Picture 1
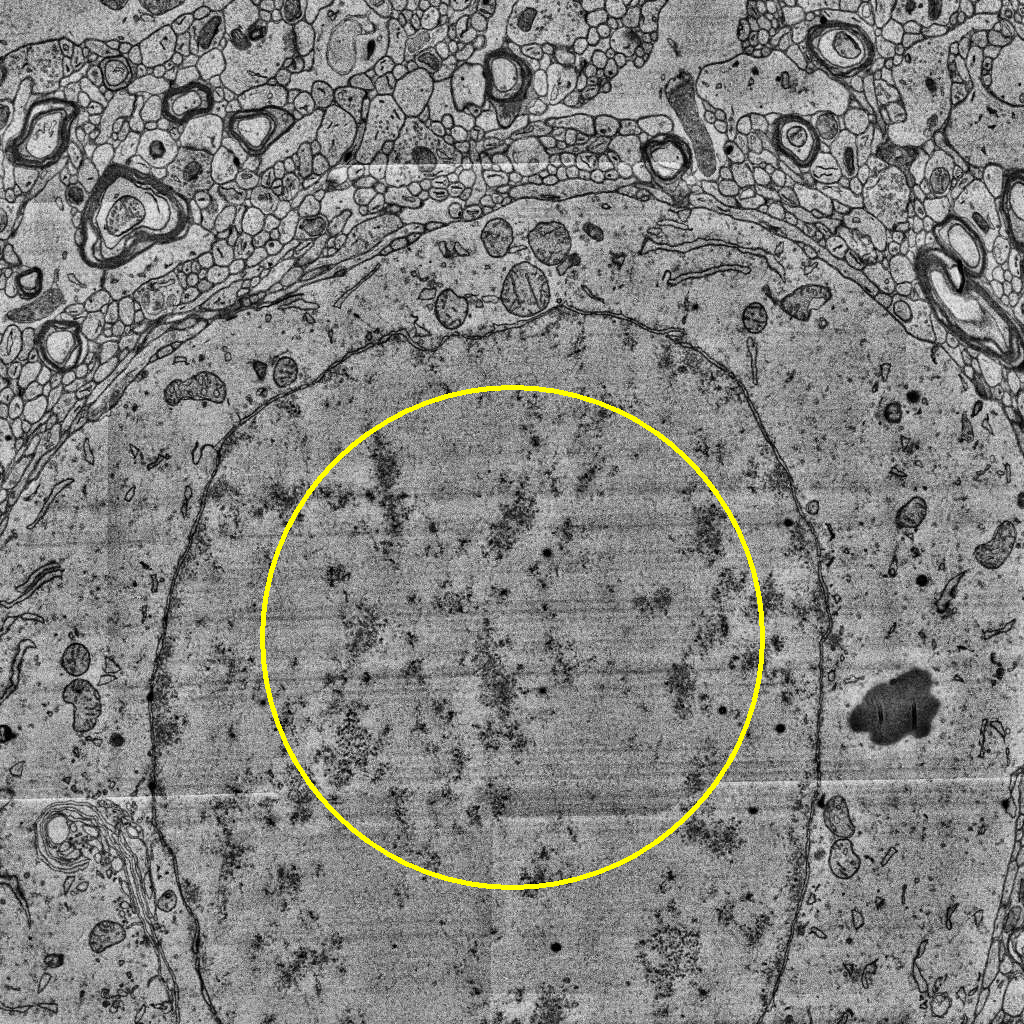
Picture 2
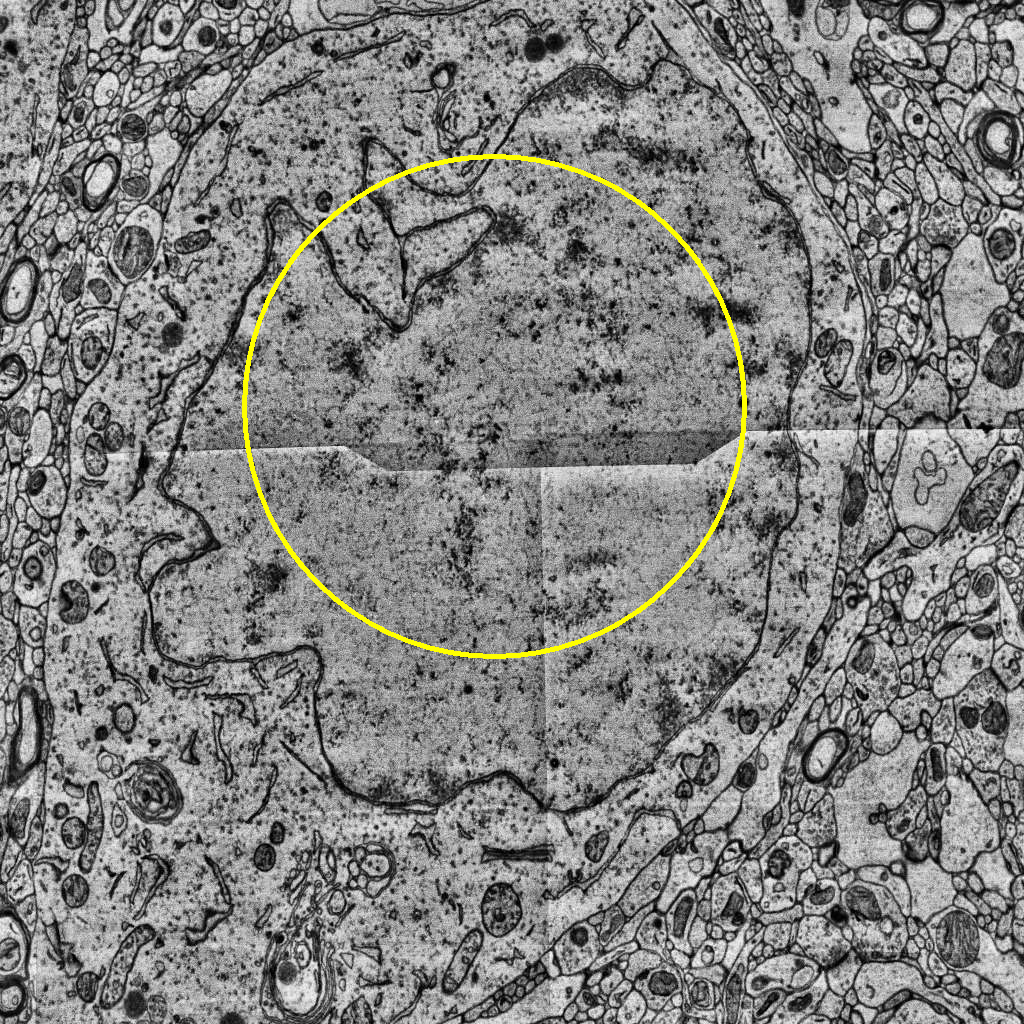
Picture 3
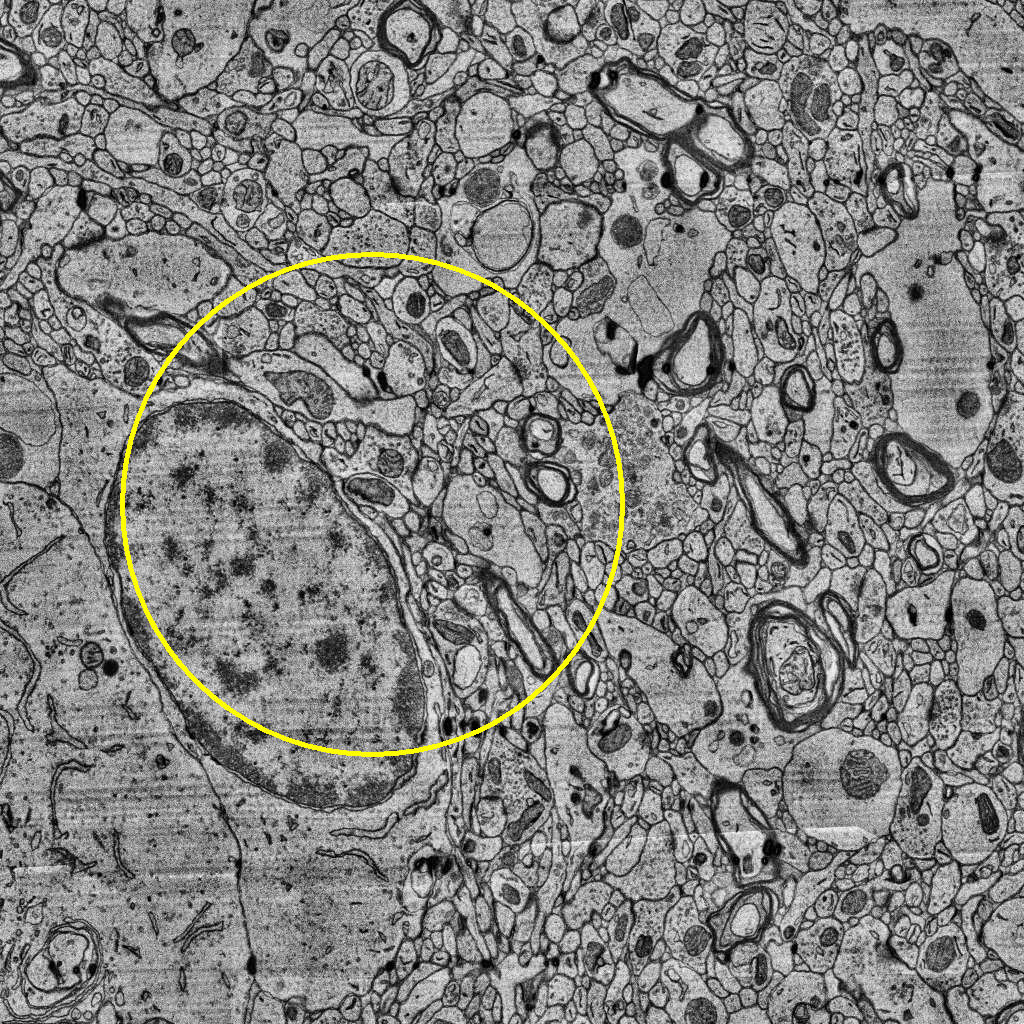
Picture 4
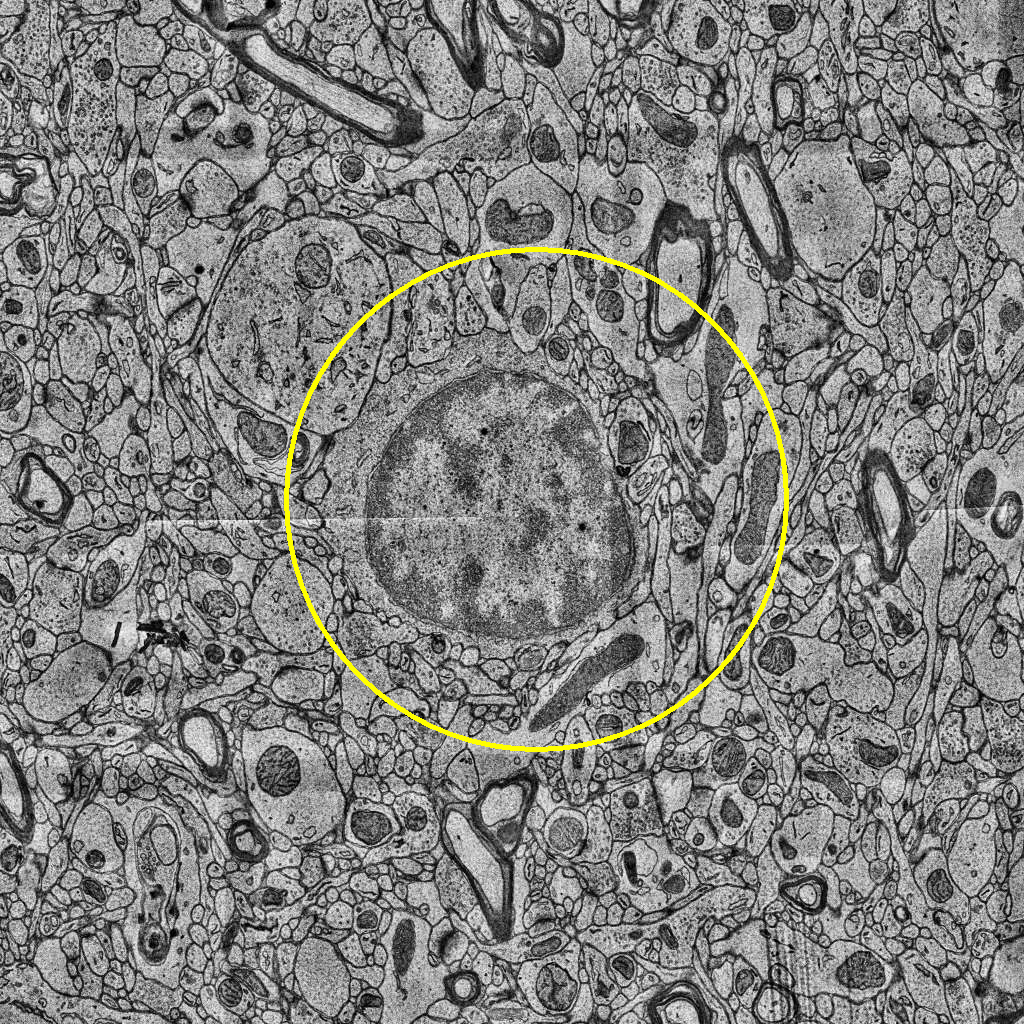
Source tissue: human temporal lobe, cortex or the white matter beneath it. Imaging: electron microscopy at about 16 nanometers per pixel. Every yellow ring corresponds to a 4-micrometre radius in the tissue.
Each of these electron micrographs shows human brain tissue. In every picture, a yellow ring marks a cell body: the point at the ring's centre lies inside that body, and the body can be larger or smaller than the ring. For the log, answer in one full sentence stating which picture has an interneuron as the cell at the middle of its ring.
In picture 2, the centre of the yellow ring lies inside the requested cell.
